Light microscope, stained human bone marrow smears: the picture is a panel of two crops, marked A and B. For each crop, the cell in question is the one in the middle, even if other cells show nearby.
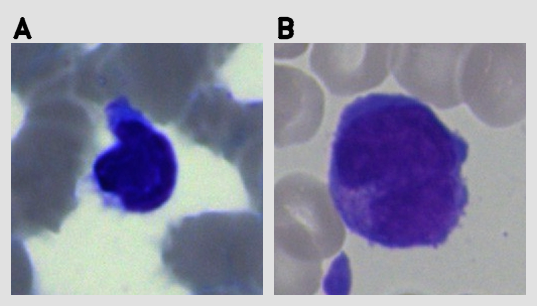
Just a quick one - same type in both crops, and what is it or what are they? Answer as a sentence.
No, crop A and crop B contain, respectively, a lymphocyte and a blast.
